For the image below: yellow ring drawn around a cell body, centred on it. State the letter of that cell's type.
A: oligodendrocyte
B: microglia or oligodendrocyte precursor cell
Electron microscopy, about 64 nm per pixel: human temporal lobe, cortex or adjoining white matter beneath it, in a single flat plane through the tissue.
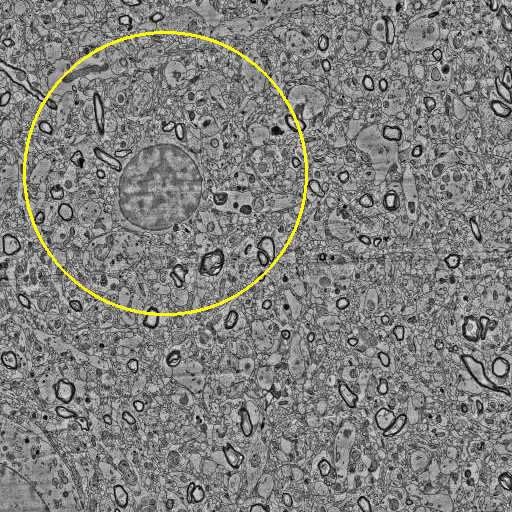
A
